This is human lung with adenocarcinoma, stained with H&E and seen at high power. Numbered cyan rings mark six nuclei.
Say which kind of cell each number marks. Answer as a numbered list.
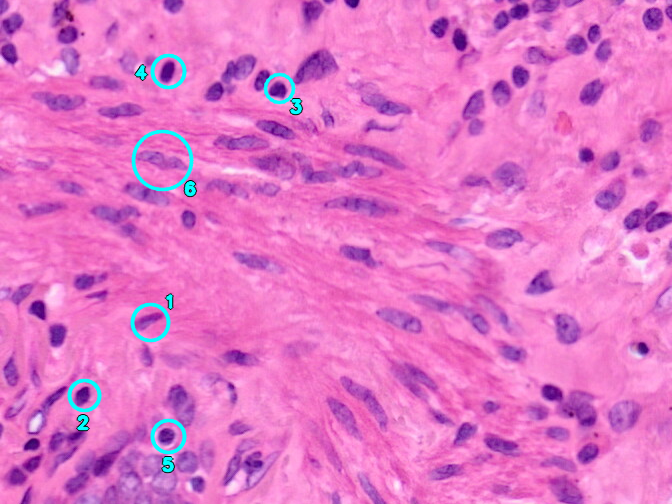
1. smooth muscle cell or pericyte
2. lymphocyte
3. lymphocyte
4. lymphocyte
5. lymphocyte
6. smooth muscle cell or pericyte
